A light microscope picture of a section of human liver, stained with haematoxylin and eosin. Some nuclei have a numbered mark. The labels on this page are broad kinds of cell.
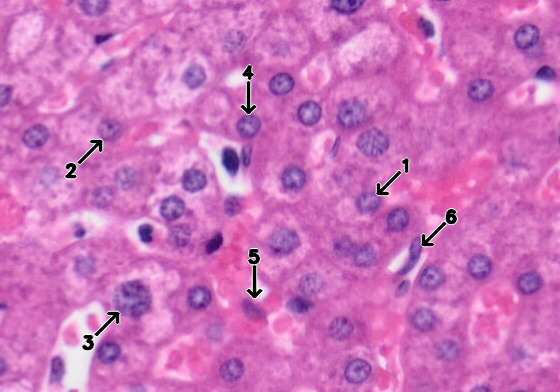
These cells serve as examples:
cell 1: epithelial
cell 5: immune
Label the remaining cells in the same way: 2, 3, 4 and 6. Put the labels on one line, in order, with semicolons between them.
epithelial; epithelial; epithelial; immune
